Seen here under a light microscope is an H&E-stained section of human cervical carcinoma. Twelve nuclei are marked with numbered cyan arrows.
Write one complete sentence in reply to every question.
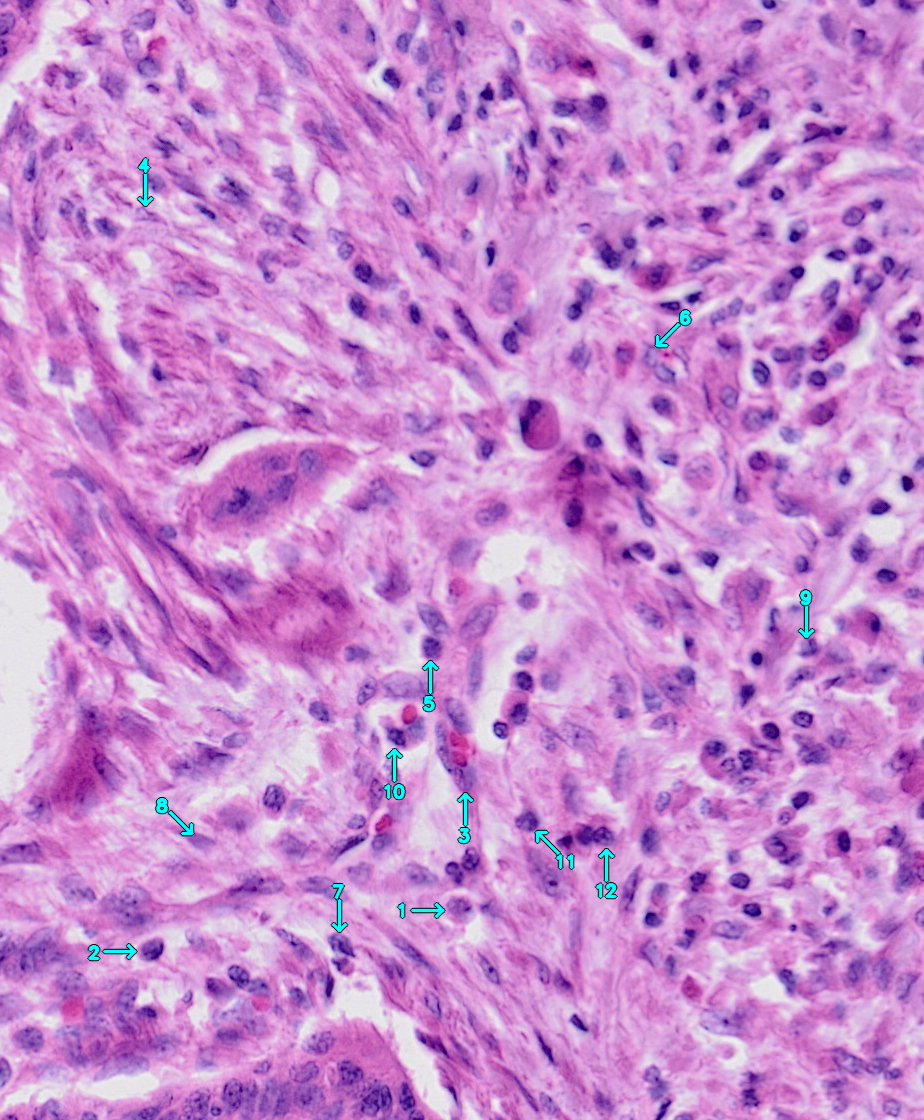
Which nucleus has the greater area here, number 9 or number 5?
It is nucleus 5, which covers about 1.5 times the area of nucleus 9.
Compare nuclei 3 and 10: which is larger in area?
Nucleus 3 is larger, with an area about 1.5 times that of nucleus 10.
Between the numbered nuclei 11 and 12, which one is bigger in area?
It is nucleus 11, which covers about 1.5 times the area of nucleus 12.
